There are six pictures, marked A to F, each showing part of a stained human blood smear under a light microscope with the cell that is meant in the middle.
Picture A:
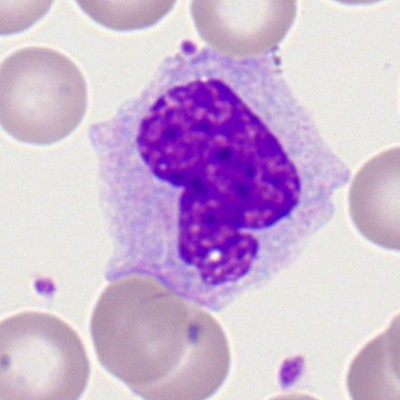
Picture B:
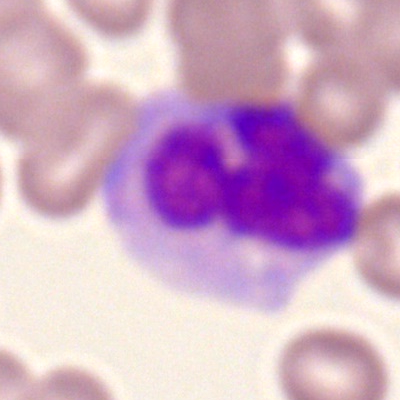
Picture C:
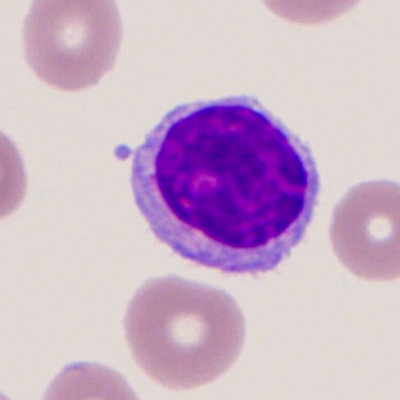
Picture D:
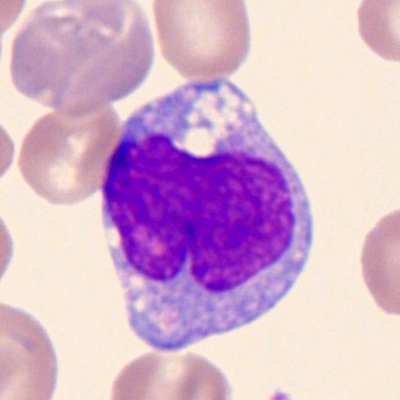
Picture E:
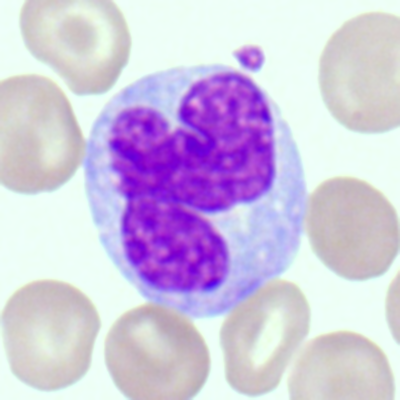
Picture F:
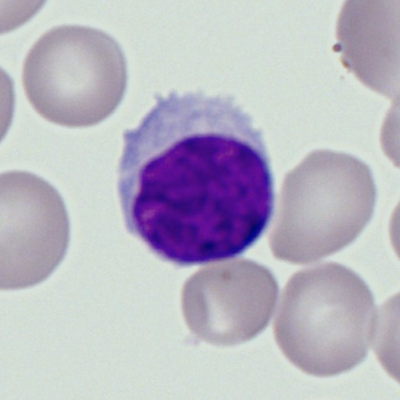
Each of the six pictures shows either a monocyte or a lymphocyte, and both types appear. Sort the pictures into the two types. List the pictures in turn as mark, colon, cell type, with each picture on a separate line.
A: monocyte
B: monocyte
C: lymphocyte
D: monocyte
E: monocyte
F: lymphocyte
